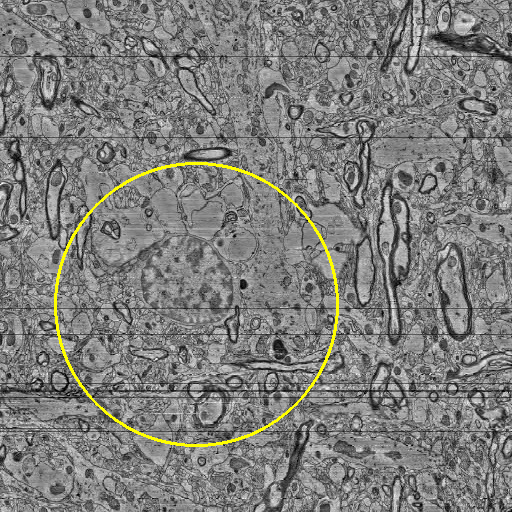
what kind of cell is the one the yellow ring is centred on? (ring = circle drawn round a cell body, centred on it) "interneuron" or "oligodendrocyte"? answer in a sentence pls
The ring is drawn around an oligodendrocyte.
